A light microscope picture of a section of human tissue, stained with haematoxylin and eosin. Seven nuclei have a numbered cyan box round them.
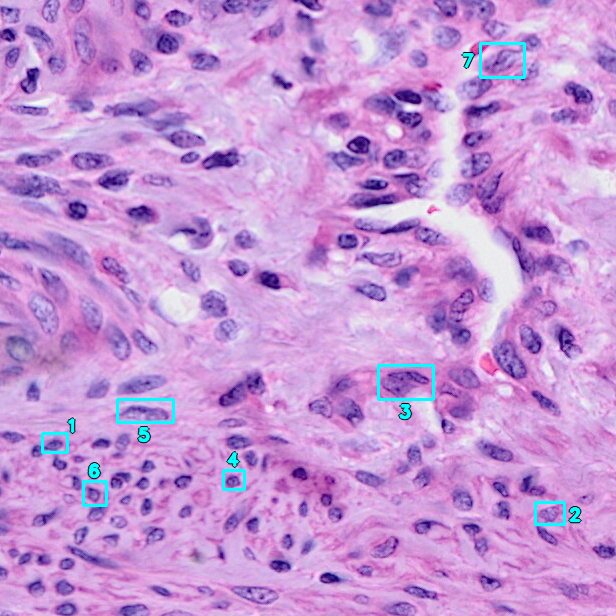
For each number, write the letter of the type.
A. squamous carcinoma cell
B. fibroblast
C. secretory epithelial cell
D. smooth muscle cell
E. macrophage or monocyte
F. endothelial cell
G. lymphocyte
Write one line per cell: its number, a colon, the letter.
1: D
2: D
3: F
4: D
5: B
6: D
7: F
